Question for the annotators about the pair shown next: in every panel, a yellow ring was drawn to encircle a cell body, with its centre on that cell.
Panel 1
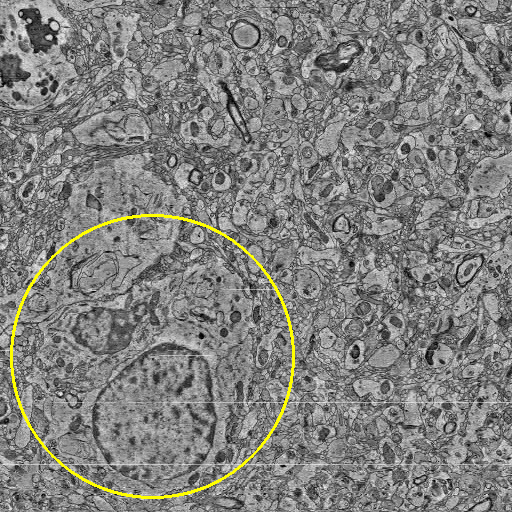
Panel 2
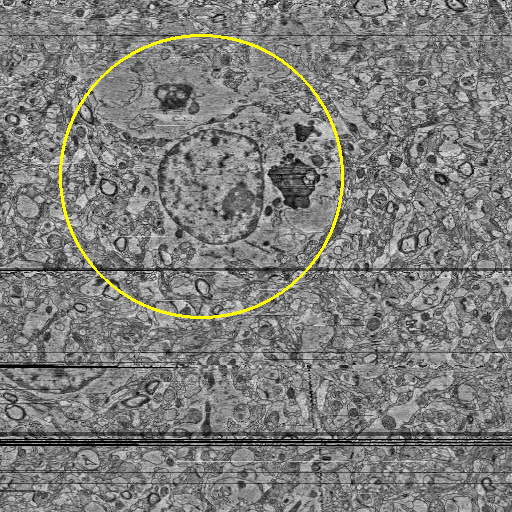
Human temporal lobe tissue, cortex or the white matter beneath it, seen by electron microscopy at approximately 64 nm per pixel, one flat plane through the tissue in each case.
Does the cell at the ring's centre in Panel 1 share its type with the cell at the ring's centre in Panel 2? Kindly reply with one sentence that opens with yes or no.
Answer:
Yes, in Panels 1 and 2 the cells at the ring centres belong to a single type.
